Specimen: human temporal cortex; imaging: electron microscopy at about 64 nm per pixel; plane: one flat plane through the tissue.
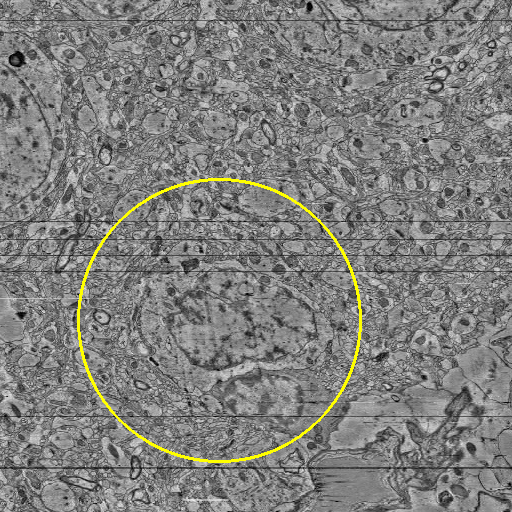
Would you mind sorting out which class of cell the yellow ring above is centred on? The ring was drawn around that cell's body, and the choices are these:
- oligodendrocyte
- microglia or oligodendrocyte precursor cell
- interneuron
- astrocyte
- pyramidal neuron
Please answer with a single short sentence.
This is the cell body of an interneuron.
